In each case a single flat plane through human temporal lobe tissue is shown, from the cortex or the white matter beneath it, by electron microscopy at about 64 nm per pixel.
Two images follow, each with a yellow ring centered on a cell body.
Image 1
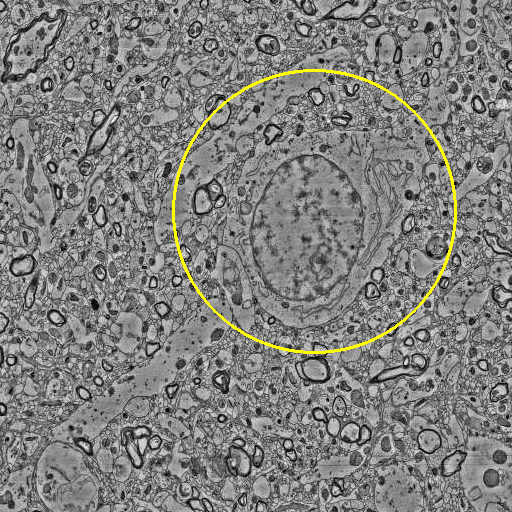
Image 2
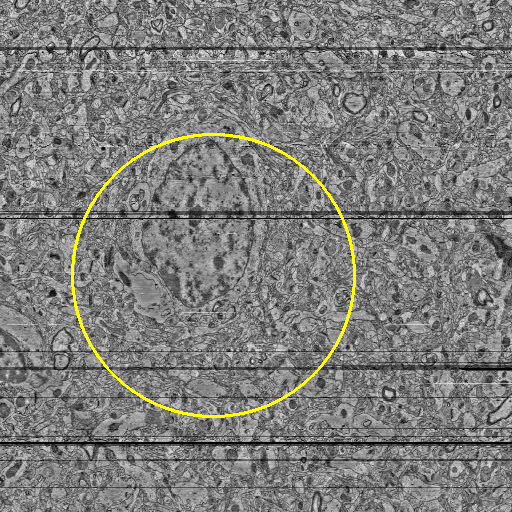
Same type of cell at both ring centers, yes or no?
yes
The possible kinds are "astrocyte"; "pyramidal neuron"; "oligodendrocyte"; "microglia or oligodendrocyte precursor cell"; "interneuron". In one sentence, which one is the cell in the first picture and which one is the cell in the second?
Each of the two rings surrounds an interneuron.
